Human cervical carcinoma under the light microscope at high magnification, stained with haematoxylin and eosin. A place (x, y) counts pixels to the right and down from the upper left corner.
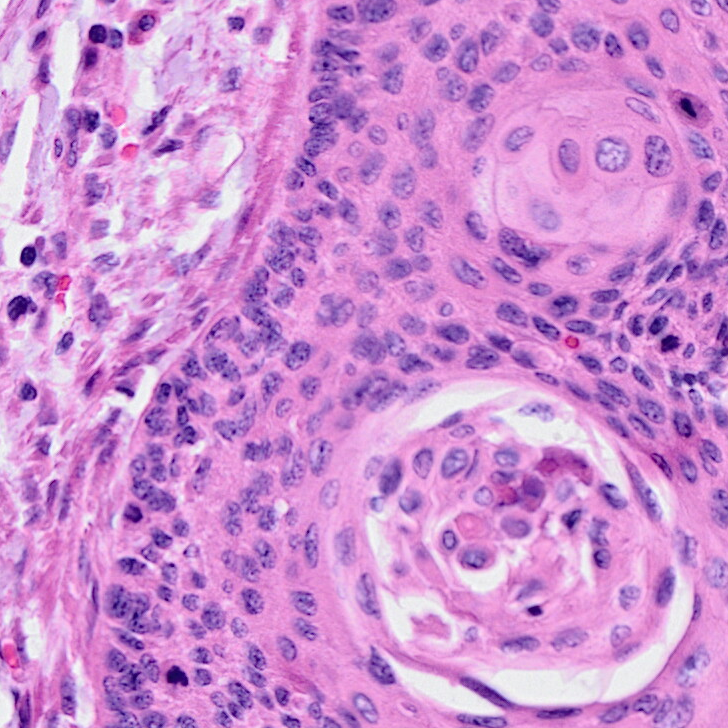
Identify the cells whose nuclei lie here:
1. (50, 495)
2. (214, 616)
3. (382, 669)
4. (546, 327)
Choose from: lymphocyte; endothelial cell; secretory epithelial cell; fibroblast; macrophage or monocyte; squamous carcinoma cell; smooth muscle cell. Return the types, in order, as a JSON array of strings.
["fibroblast", "squamous carcinoma cell", "squamous carcinoma cell", "squamous carcinoma cell"]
